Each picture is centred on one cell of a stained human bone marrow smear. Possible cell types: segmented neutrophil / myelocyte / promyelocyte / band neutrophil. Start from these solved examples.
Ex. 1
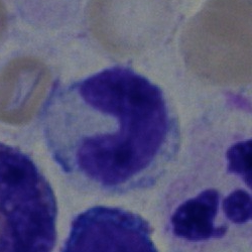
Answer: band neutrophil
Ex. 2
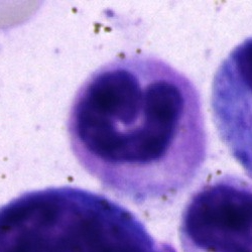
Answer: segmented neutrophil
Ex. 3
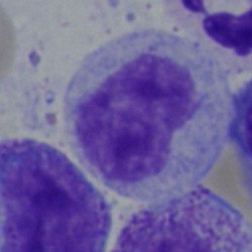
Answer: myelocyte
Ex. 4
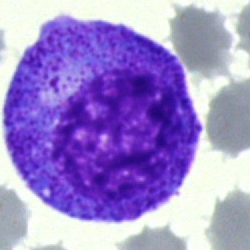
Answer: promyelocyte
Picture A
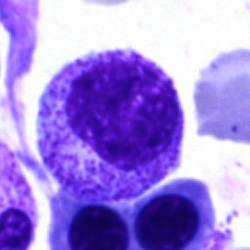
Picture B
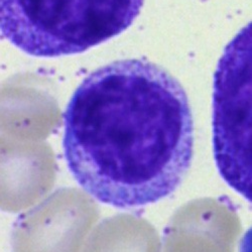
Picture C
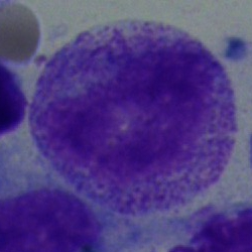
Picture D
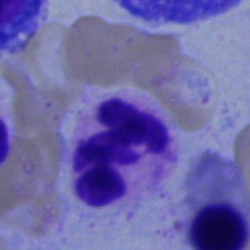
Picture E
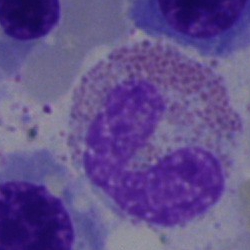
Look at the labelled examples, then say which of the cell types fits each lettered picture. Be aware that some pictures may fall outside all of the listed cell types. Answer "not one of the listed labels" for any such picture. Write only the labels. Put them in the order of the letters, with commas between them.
myelocyte, myelocyte, myelocyte, segmented neutrophil, not one of the listed labels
